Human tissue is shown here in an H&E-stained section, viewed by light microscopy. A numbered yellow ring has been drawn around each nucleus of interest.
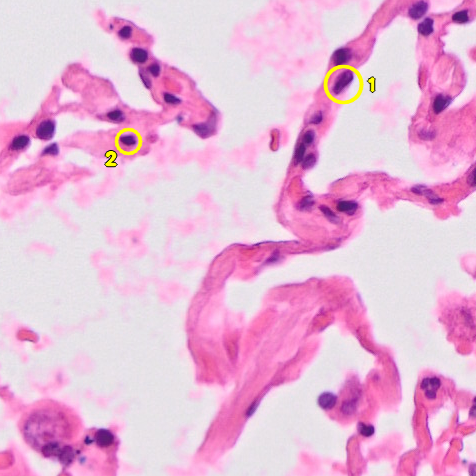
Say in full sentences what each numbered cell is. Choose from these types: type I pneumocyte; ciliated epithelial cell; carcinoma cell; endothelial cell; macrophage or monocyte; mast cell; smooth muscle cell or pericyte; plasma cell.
Cell 1 is a type I pneumocyte. Cell 2 is an endothelial cell.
